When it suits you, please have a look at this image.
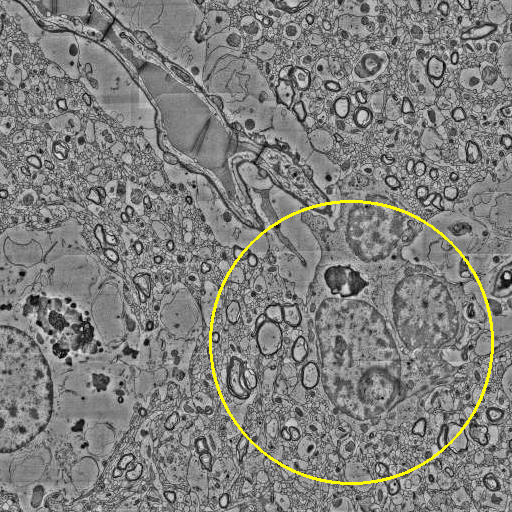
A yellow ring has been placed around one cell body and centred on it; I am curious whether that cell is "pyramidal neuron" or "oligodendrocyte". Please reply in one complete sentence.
The ringed cell, an oligodendrocyte, has its body at the centre of the yellow ring.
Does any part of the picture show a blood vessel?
Yes, there is a blood vessel in the image.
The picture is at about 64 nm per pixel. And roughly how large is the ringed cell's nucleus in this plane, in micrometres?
About 8 by 5 micrometres in this plane.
